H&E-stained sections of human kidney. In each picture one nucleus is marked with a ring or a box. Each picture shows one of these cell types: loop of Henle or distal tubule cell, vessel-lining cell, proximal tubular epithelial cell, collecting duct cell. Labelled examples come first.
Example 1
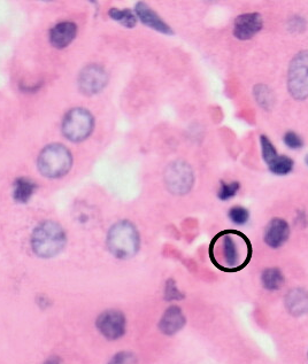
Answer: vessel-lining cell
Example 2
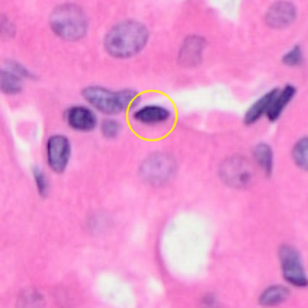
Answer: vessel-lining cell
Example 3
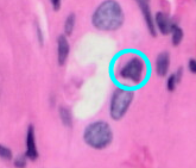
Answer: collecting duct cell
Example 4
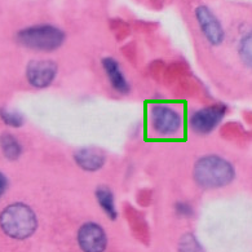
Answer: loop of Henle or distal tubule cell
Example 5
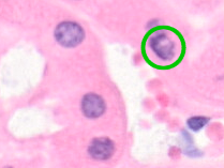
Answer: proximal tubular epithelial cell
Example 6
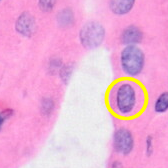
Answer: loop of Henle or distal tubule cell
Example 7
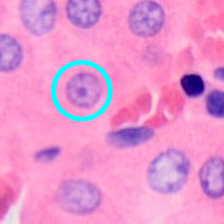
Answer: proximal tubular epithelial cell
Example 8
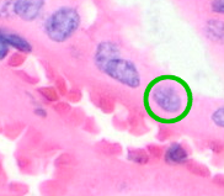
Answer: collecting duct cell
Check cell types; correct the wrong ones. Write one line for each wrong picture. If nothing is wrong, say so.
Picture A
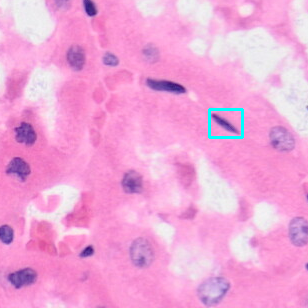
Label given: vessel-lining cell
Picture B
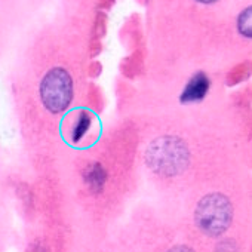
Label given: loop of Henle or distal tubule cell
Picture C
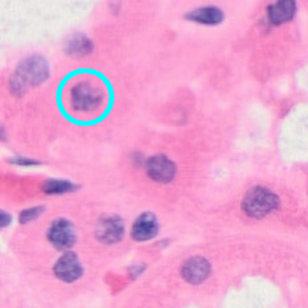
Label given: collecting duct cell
Wrong: B (loop of Henle or distal tubule cell); correct: vessel-lining cell
Wrong: C (collecting duct cell); correct: loop of Henle or distal tubule cell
